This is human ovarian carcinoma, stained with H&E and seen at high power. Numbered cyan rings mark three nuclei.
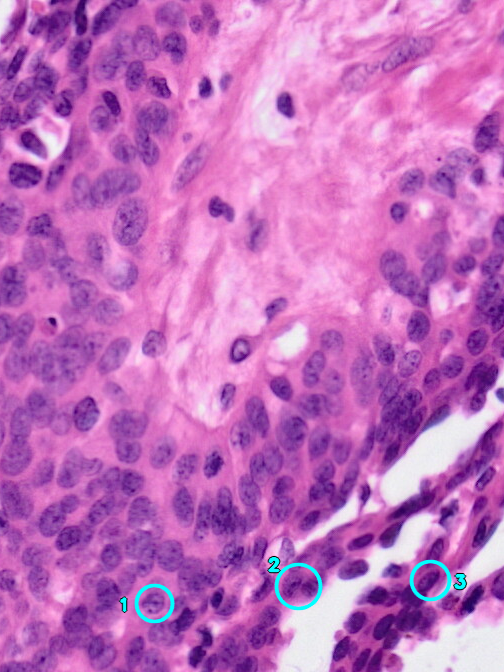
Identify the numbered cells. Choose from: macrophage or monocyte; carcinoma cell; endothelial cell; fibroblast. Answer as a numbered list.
1. macrophage or monocyte
2. carcinoma cell
3. carcinoma cell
